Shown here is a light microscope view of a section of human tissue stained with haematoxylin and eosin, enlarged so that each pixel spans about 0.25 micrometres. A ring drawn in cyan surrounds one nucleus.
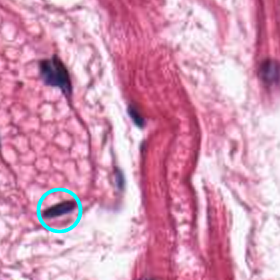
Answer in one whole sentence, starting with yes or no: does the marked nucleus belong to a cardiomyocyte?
No, the marked nucleus is attributed to a supporting cell, not to a cardiomyocyte.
